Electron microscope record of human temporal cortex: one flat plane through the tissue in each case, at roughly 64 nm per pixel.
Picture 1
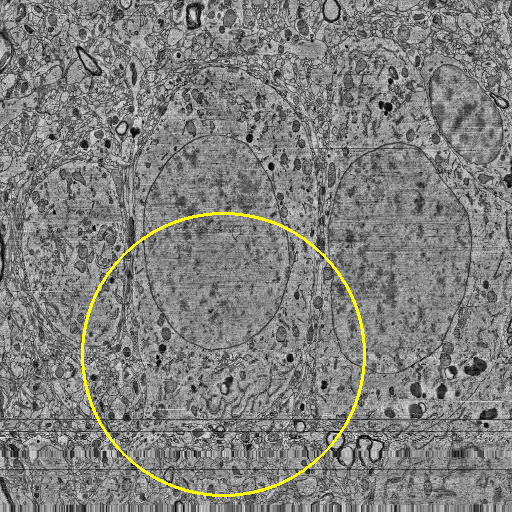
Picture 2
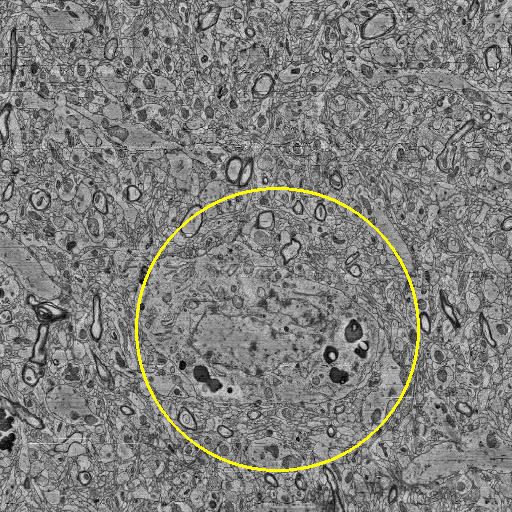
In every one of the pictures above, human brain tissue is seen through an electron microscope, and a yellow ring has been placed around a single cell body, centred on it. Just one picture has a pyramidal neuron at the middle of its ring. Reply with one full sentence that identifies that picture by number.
It is picture 1 that shows the wanted cell at its ring's centre.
